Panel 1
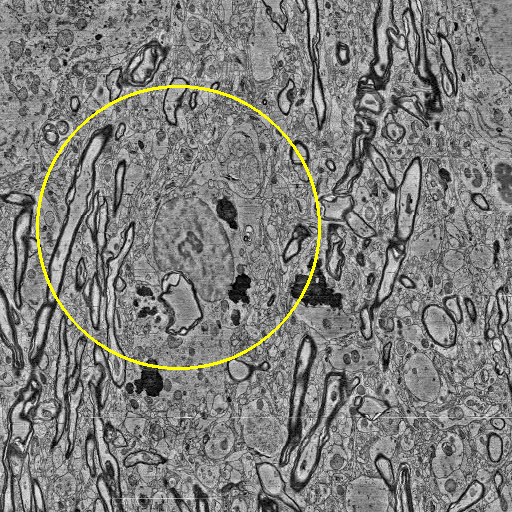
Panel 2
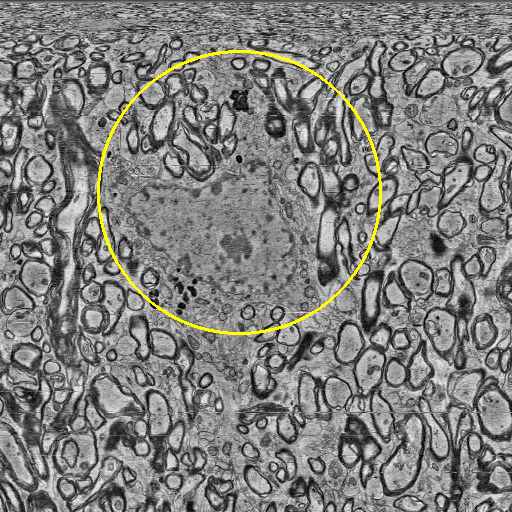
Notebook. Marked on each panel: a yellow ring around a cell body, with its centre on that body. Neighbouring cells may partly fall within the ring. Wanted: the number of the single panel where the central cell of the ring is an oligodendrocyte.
1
